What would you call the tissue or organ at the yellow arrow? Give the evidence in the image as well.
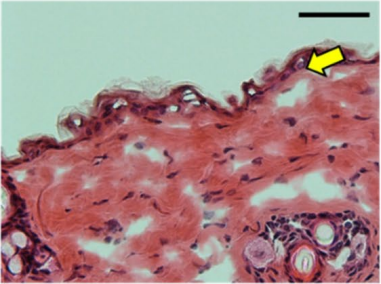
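The arrow points to a thin, darkly stained cell layer at the outer surface. Beneath it lies pink fibrous connective tissue with scattered nuclei. The answer: epidermal layer.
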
